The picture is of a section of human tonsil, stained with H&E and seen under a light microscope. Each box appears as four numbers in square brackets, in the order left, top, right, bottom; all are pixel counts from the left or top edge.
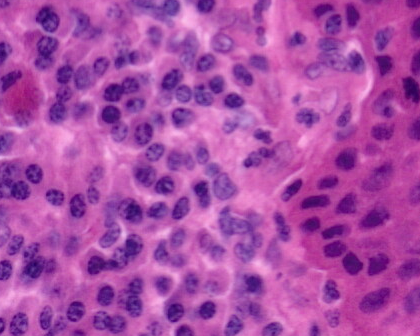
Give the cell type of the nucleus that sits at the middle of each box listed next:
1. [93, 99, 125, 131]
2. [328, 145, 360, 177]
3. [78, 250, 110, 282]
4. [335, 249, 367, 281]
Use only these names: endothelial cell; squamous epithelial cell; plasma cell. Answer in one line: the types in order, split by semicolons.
plasma cell; squamous epithelial cell; plasma cell; squamous epithelial cell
